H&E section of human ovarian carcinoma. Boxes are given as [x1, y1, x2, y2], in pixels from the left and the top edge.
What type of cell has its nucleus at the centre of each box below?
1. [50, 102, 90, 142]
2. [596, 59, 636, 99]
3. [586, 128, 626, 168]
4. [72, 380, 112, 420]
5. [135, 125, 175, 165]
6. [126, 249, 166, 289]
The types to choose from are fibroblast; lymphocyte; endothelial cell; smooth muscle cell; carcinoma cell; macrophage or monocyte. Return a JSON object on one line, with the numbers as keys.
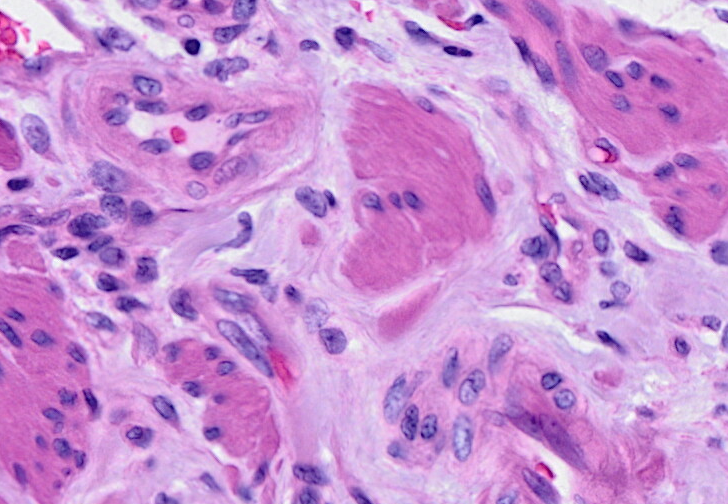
{"1": "fibroblast", "2": "smooth muscle cell", "3": "endothelial cell", "4": "smooth muscle cell", "5": "endothelial cell", "6": "macrophage or monocyte"}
